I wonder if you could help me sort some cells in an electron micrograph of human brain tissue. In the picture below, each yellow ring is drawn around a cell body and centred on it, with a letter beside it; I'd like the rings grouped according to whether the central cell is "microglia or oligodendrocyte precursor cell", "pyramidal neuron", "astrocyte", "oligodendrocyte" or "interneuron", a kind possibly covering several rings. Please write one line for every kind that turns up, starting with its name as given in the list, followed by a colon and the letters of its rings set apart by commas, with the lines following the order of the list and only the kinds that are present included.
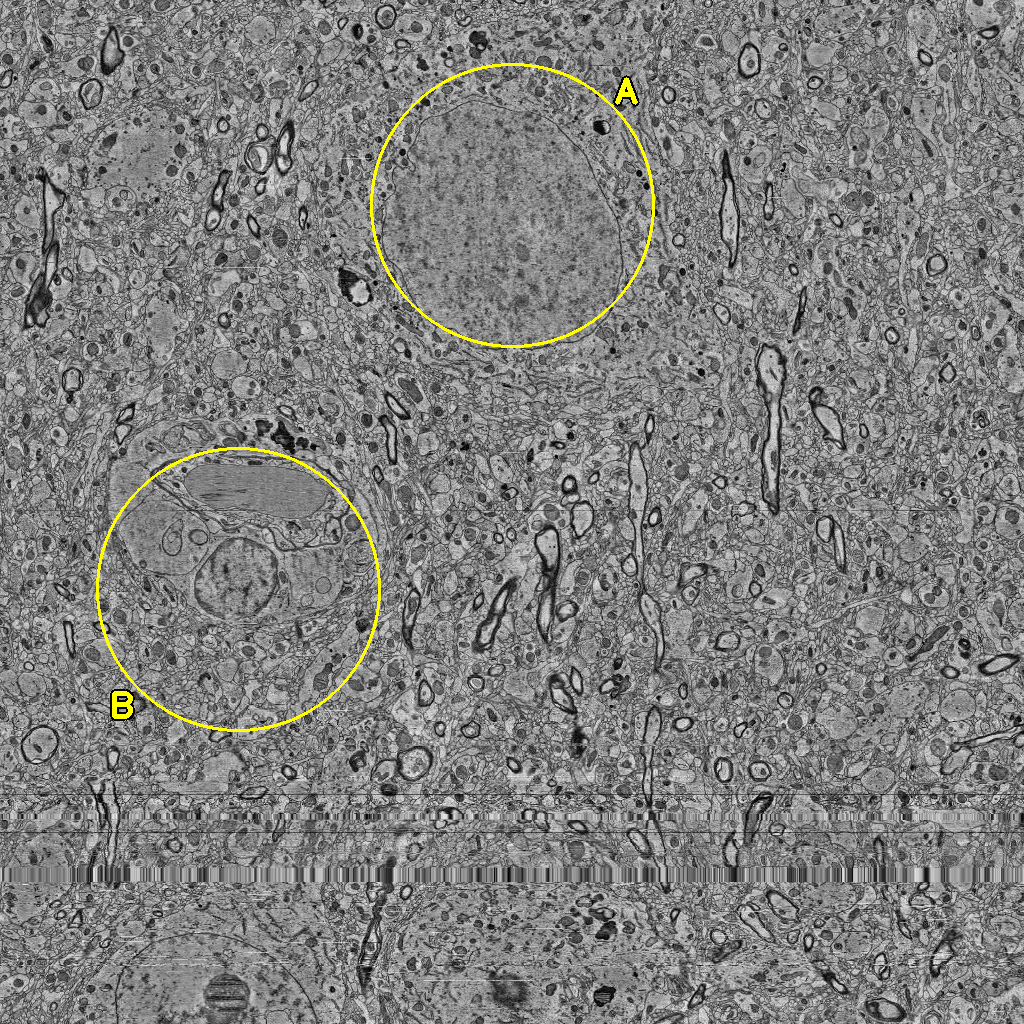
microglia or oligodendrocyte precursor cell: B
pyramidal neuron: A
